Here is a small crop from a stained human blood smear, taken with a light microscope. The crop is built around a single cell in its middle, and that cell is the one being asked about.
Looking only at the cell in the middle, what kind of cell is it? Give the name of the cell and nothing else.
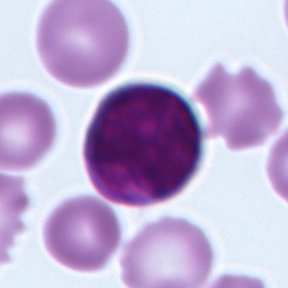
myeloblast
